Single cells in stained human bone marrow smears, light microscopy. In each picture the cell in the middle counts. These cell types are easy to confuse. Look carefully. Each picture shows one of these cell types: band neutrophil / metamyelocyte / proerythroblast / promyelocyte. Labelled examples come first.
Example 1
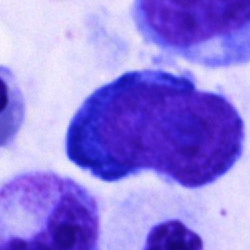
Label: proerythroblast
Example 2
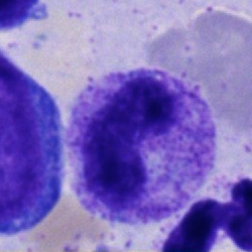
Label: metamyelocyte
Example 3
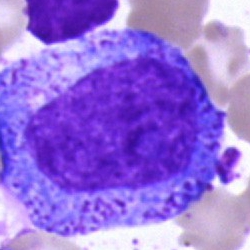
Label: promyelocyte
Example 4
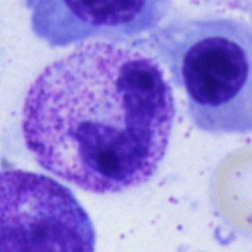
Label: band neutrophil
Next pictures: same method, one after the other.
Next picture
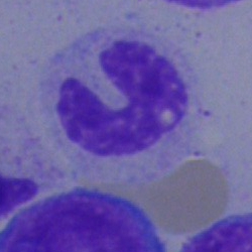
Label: band neutrophil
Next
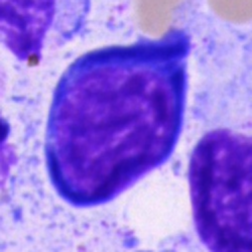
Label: proerythroblast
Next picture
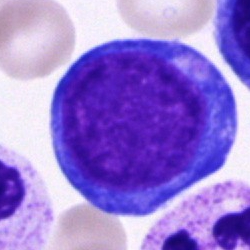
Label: proerythroblast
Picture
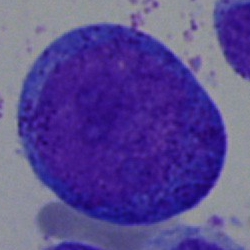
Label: promyelocyte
